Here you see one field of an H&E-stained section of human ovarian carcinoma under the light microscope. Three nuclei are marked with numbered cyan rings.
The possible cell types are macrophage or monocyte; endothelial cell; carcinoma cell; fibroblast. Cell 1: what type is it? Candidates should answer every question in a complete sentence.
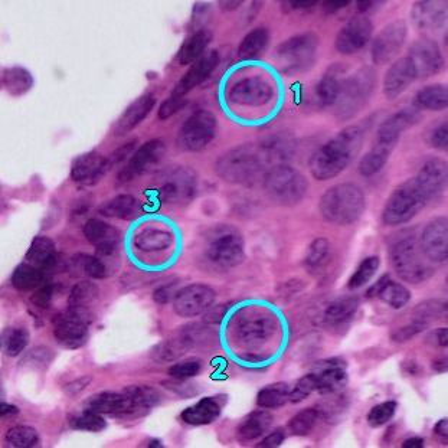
The cell numbered 1 represents a macrophage or monocyte.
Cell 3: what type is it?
The cell marked with the number 3 is a macrophage or monocyte.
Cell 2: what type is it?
In the marked set, the cell given number 2 is a carcinoma cell.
